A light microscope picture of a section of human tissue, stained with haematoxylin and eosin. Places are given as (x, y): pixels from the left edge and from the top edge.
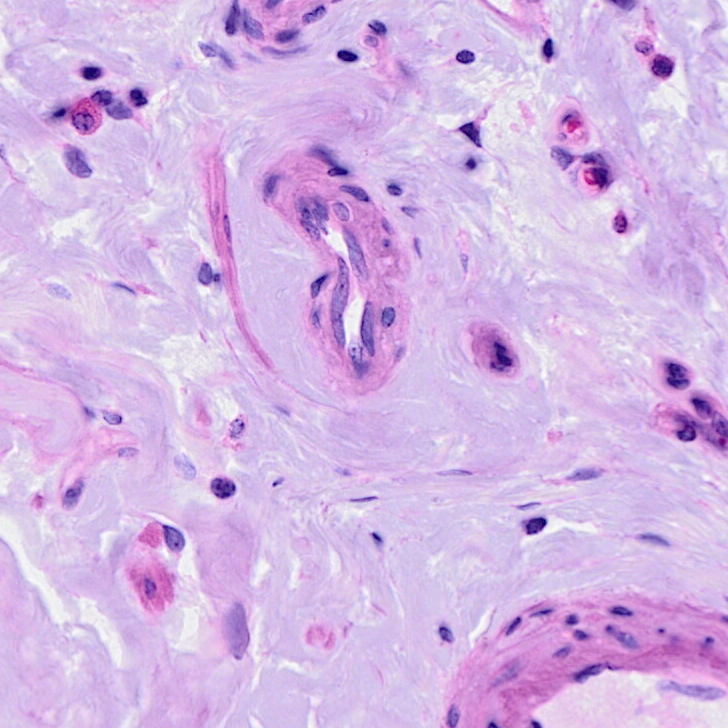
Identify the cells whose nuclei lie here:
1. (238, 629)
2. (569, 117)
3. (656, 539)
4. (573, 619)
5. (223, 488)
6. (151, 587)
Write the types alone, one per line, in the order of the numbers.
fibroblast
endothelial cell
fibroblast
smooth muscle cell
lymphocyte
smooth muscle cell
